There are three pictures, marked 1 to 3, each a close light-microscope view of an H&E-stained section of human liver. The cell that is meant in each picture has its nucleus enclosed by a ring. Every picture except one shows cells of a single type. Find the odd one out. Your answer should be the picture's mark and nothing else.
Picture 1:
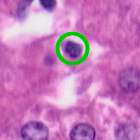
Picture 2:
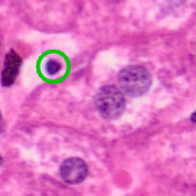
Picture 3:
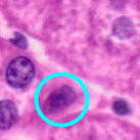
3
